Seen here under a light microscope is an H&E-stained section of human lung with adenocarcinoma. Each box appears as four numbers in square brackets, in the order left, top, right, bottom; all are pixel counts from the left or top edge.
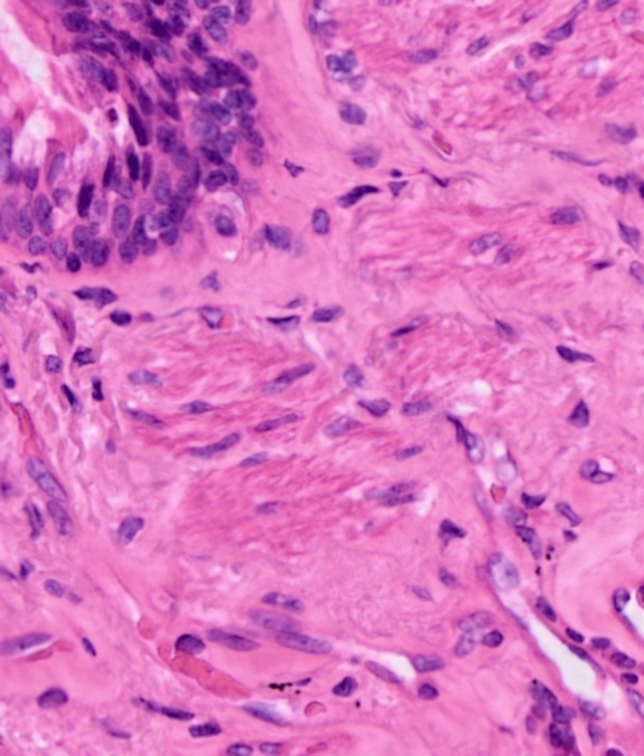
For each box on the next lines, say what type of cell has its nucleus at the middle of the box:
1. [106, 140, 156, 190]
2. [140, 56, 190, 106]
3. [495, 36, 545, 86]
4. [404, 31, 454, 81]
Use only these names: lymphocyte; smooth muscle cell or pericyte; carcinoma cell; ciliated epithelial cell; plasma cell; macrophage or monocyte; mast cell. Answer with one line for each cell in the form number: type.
1: ciliated epithelial cell
2: ciliated epithelial cell
3: smooth muscle cell or pericyte
4: smooth muscle cell or pericyte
